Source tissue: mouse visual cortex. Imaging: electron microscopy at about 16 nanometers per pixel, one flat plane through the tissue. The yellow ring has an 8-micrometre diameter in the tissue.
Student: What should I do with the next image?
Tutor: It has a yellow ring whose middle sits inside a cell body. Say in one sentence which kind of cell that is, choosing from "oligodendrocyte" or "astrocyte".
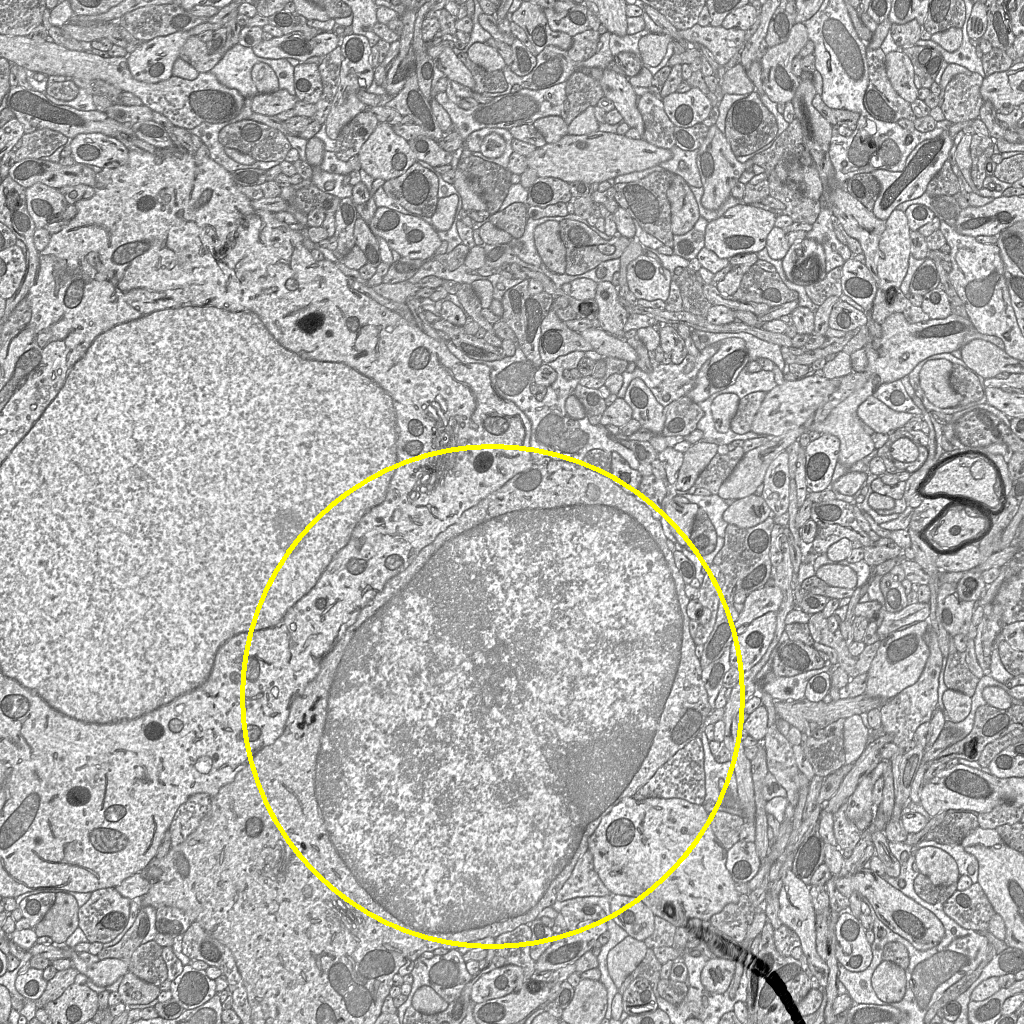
The ring's centre is occupied by an oligodendrocyte.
